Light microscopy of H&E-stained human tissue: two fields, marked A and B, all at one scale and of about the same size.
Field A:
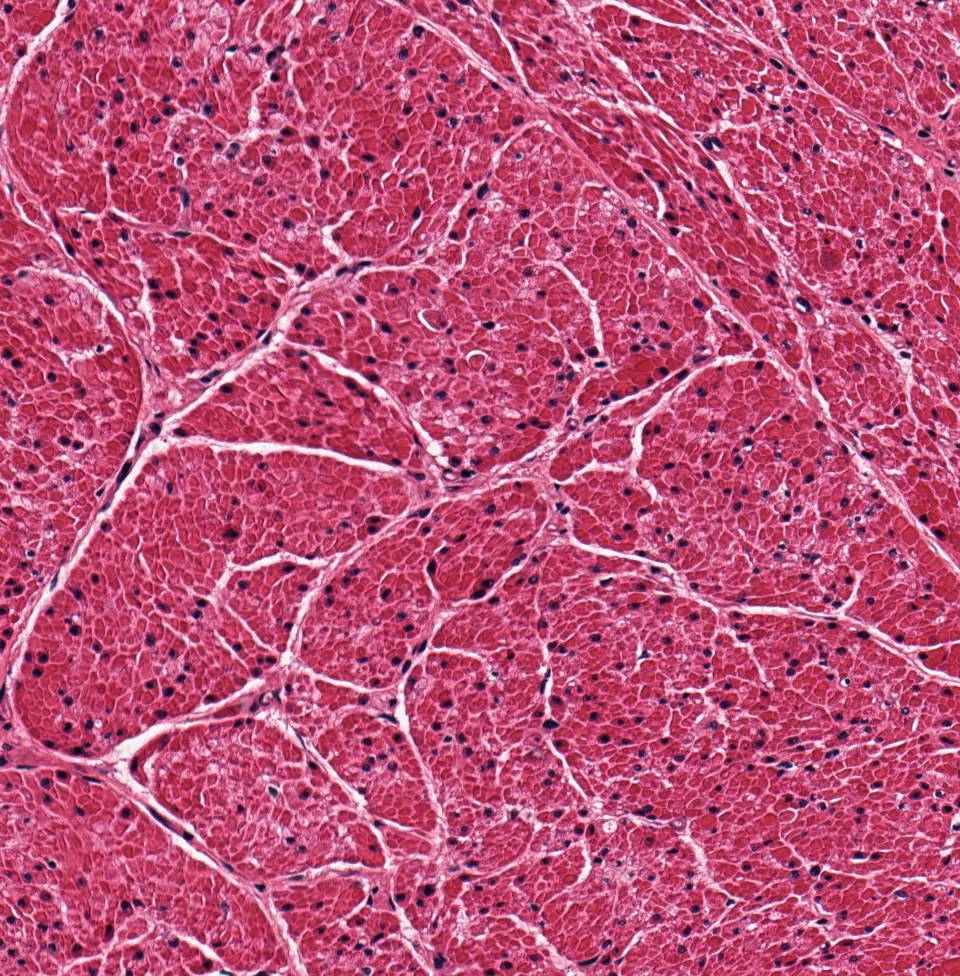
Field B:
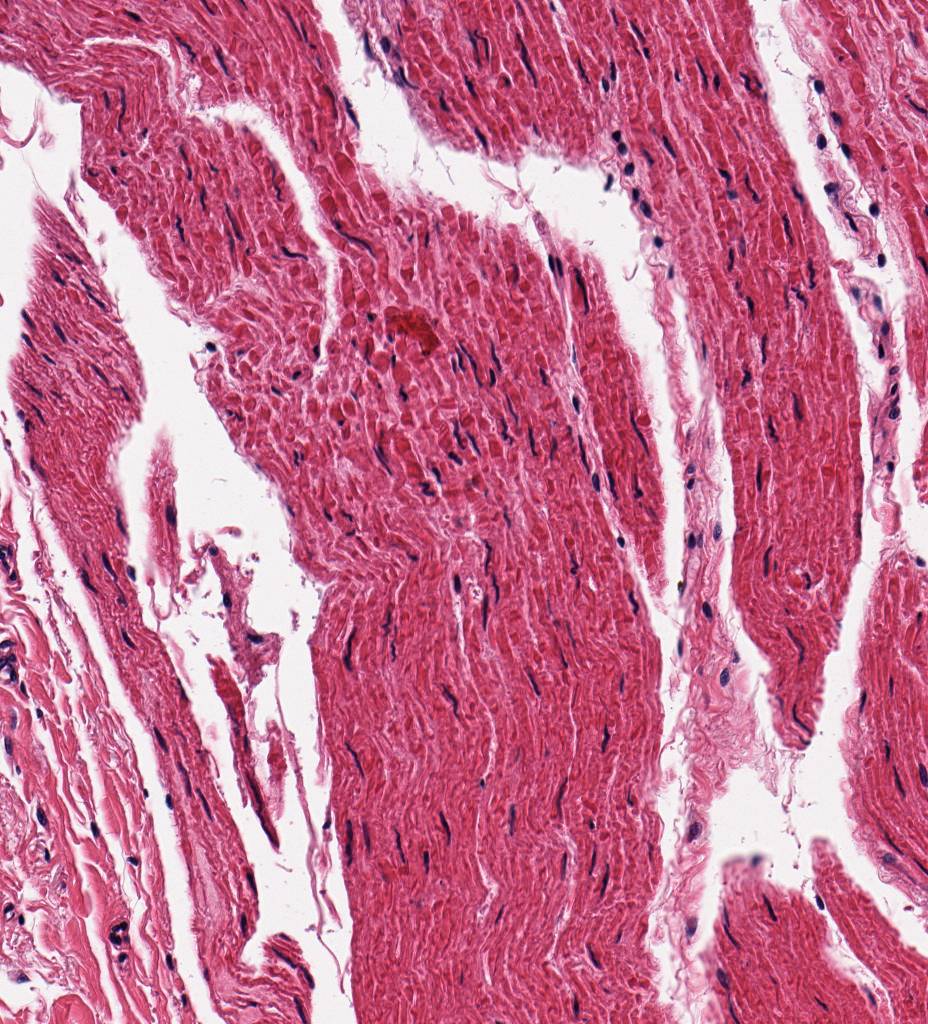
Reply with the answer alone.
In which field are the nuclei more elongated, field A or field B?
B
